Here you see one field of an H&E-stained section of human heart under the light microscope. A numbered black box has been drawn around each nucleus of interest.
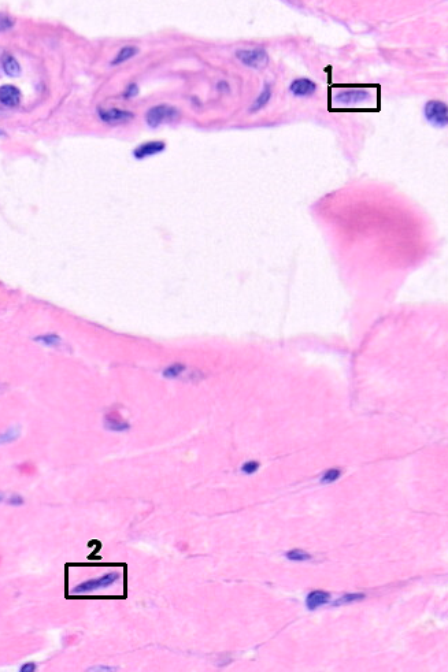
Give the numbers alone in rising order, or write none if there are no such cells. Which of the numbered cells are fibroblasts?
1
